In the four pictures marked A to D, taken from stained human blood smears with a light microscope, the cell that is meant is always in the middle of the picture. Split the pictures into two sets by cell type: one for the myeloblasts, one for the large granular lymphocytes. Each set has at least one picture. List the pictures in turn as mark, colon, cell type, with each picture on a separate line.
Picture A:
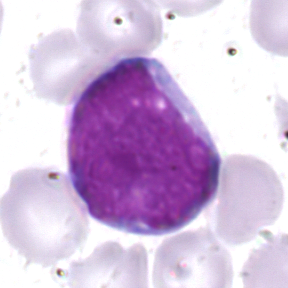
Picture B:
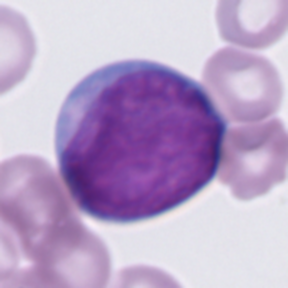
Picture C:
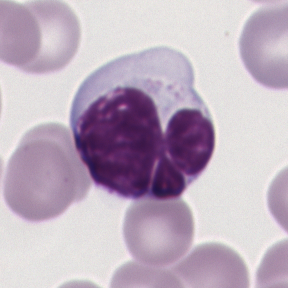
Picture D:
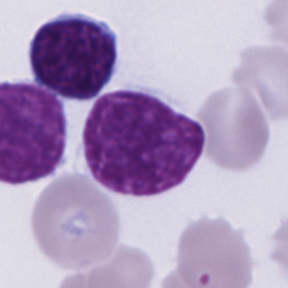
A: myeloblast
B: myeloblast
C: large granular lymphocyte
D: myeloblast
